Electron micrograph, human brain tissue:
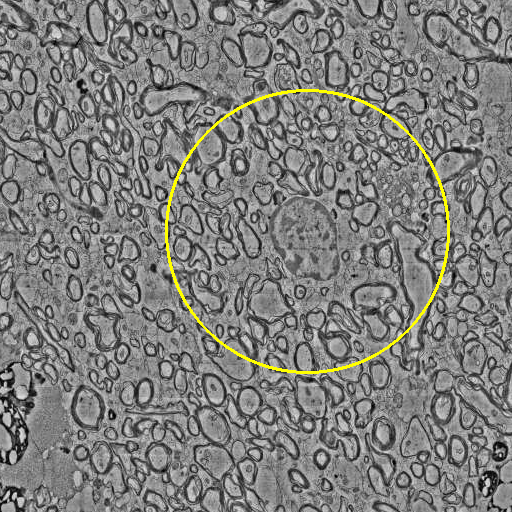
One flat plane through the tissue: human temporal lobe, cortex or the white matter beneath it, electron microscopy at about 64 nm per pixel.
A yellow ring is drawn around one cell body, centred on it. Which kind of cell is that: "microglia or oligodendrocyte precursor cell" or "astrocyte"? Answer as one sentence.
It is a microglial cell or oligodendrocyte precursor cell at the centre of the ring.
